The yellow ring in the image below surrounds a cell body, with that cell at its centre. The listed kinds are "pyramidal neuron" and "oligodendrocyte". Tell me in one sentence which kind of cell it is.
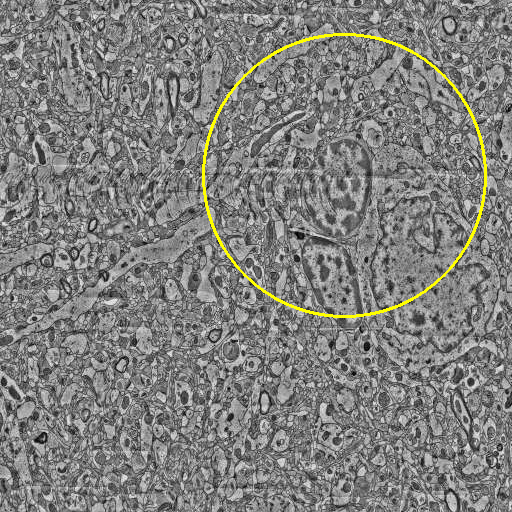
The centre of the ring holds an oligodendrocyte.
